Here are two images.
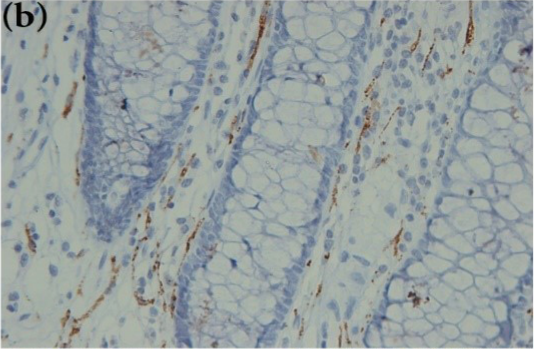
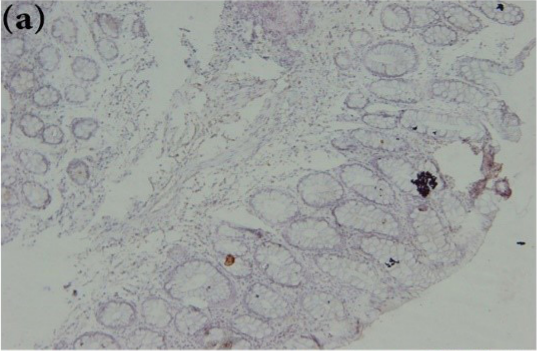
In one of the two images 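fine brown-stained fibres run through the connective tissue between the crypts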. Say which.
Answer: The first image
